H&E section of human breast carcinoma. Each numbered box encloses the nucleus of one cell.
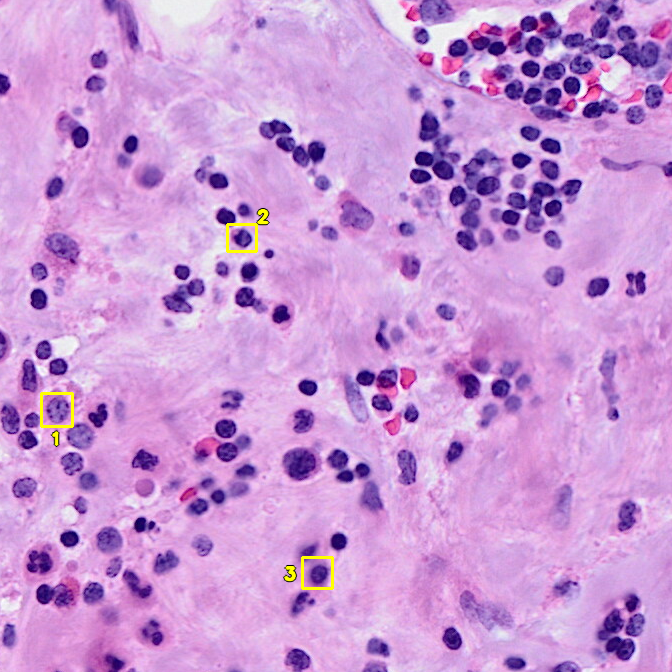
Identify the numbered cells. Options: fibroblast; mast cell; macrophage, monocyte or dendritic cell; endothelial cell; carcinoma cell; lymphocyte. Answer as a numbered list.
1. mast cell
2. lymphocyte
3. lymphocyte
